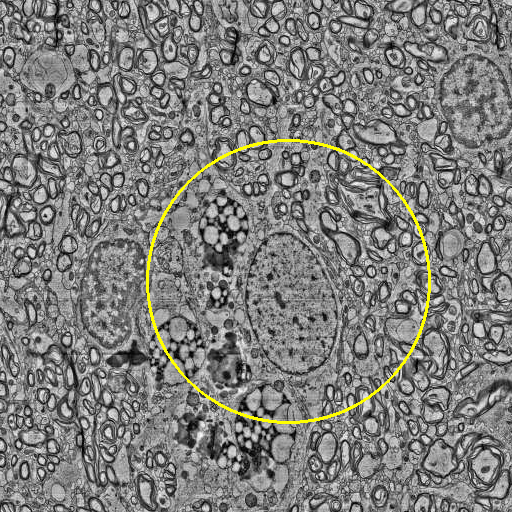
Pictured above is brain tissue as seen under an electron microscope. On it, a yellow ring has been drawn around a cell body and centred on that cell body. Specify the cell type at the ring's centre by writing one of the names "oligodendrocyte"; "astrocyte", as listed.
astrocyte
